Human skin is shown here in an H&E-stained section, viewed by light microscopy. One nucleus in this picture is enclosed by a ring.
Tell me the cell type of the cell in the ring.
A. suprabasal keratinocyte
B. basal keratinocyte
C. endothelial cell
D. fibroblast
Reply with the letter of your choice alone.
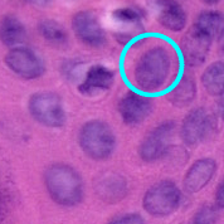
B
